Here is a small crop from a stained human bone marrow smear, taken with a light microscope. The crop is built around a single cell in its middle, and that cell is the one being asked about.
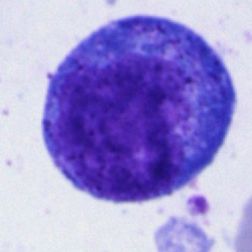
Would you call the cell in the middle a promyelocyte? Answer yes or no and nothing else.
yes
